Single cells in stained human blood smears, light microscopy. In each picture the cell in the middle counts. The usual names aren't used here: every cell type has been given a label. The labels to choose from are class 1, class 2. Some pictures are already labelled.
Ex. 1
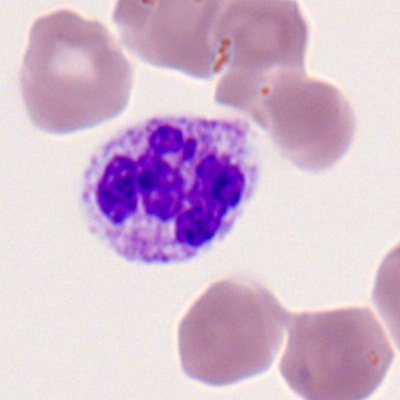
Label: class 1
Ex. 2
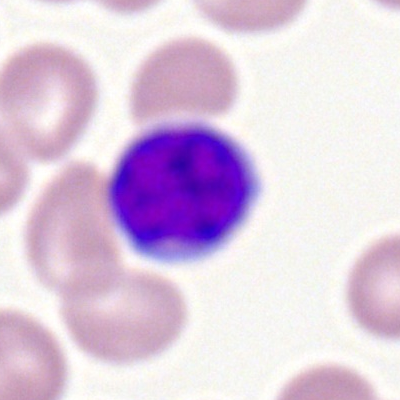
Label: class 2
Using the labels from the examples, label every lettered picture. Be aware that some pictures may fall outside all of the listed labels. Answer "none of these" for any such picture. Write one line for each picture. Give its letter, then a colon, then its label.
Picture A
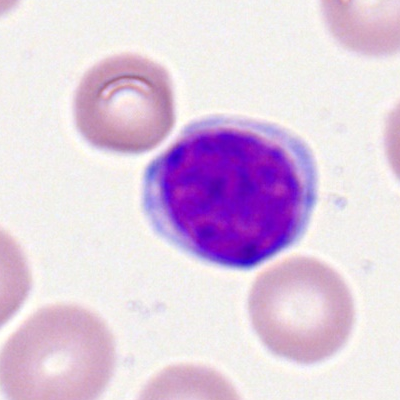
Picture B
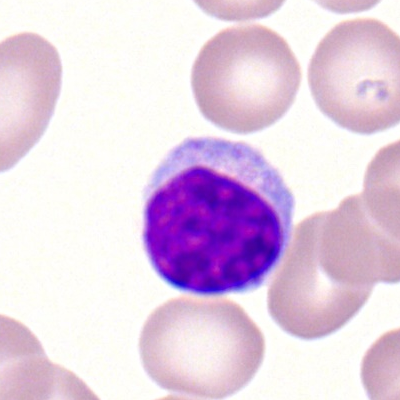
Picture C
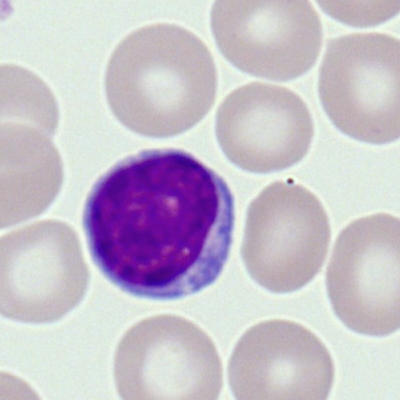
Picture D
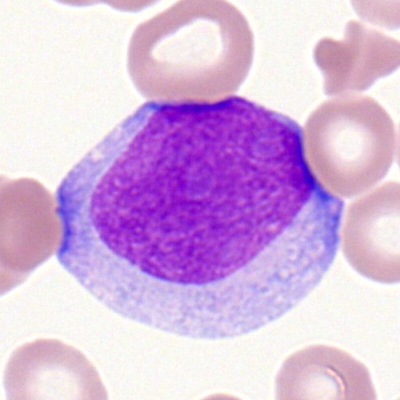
A: class 2
B: class 2
C: class 2
D: none of these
